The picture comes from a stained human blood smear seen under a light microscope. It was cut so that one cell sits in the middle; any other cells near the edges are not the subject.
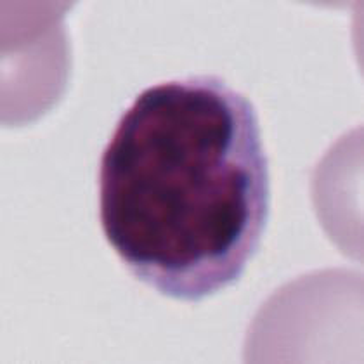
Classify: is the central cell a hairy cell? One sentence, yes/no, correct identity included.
No, the central cell is a typical lymphocyte; it should not be labelled a hairy cell.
